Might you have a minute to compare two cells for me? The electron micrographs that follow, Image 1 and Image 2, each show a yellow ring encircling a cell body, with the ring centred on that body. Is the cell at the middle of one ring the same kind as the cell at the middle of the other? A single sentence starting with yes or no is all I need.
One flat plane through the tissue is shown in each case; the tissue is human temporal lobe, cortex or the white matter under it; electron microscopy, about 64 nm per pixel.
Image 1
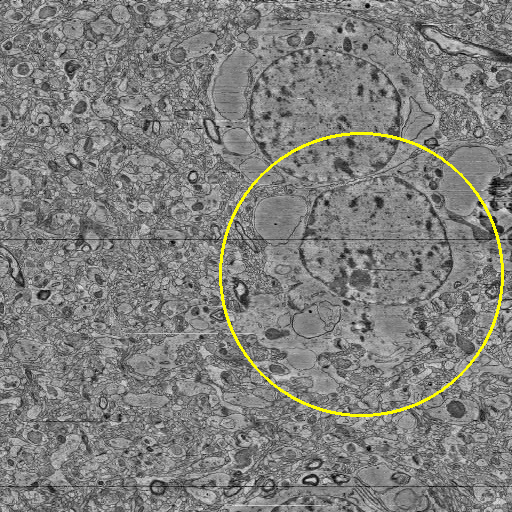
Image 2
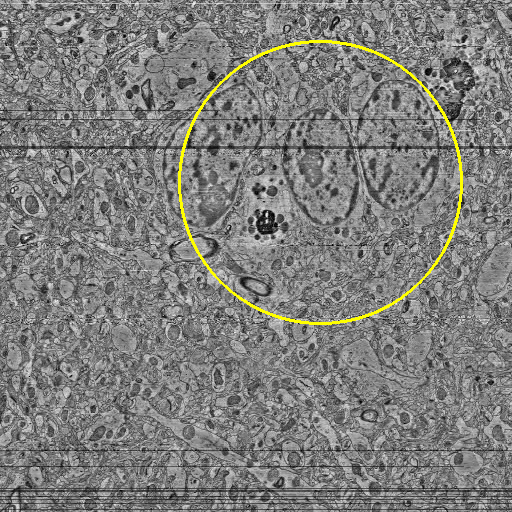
Yes, the cells in the middle of the two rings are of one shared kind.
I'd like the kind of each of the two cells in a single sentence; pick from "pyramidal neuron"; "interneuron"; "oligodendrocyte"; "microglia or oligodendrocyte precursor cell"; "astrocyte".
Both pictures show an astrocyte at the centre of the ring.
